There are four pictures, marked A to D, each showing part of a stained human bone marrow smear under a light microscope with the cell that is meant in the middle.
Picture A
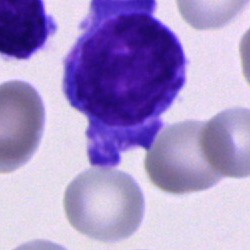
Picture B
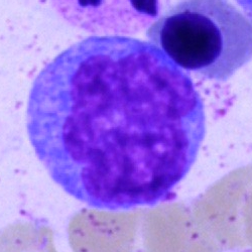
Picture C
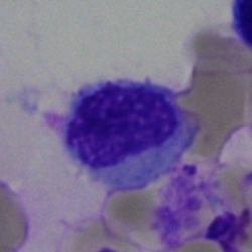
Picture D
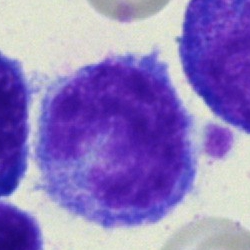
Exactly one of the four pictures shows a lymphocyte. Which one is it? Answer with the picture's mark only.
C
